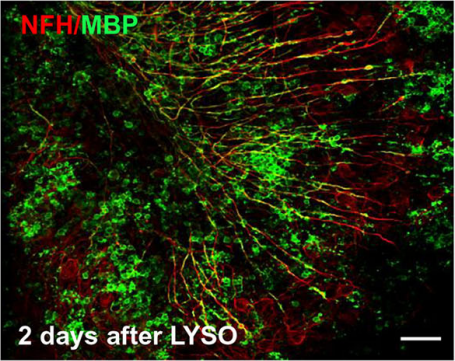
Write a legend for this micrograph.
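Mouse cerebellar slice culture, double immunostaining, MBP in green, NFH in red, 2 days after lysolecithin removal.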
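Red axons still run in roughly parallel bundles across the field, but only some are accompanied by green myelin and appear yellow. Much of the green is no longer in continuous lines; instead it lies as scattered dots, small rings and irregular clumps throughout the tissue, between and beside the axons. The regular fan-like alignment of myelin along the axons is disrupted, and the field looks patchy and fragmented compared with intact tissue.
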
